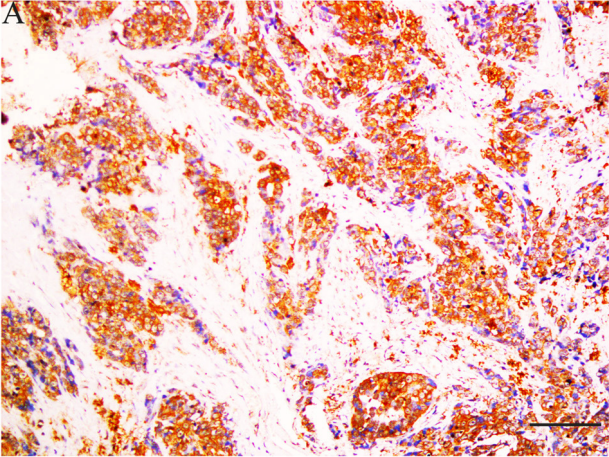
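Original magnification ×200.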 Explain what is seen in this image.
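The nests vary in size and shape and are separated by bands of loose, pale fibrous stroma. Within the nests the tumour cells are crowded, with little visible lumen formation. Intense brown granular staining fills most of the tumour cells, while scattered blue nuclei show at the edges of the nests. The stroma between the nests stays largely pale, with only scattered brown deposits.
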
